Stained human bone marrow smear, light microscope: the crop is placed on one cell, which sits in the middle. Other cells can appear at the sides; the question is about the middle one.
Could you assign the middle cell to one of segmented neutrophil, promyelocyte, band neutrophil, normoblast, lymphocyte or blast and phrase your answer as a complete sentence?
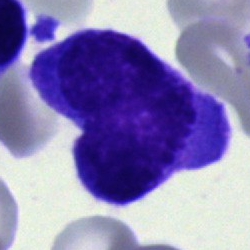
The cell that lies at the centre of the crop is a blast.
